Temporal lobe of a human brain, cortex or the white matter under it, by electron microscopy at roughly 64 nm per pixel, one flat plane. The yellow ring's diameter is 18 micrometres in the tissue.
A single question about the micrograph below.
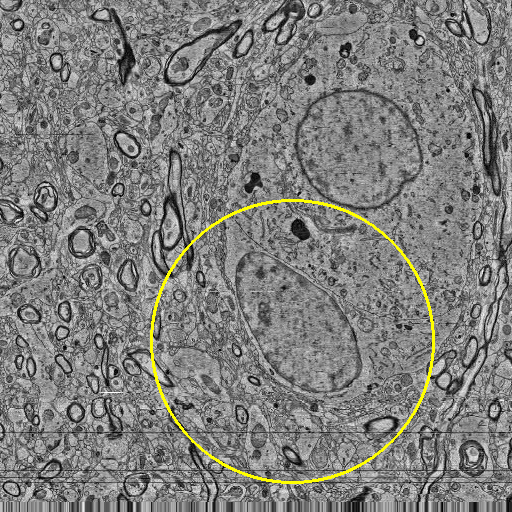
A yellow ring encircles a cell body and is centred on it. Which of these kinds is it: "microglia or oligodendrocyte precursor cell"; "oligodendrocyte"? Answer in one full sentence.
The cell body at the centre of the yellow ring belongs to a microglial cell or oligodendrocyte precursor cell.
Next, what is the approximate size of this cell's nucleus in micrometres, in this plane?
Approximately 11 by 6 micrometers, which makes the nucleus clearly longer than it is wide in this plane.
